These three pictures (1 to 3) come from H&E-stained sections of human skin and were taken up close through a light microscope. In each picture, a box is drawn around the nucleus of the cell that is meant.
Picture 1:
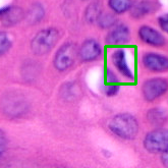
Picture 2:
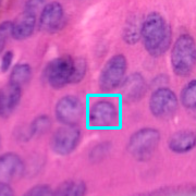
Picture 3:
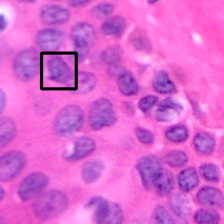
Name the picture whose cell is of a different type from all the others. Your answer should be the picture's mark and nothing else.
1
